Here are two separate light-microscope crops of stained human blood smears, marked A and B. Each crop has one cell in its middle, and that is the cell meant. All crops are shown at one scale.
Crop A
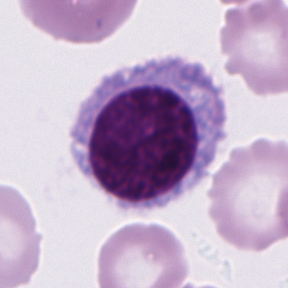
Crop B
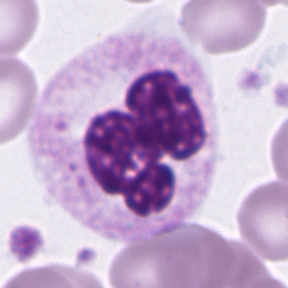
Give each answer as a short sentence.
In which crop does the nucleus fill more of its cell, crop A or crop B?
It is the cell in crop A that is filled more by its nucleus.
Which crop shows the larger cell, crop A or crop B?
The cell in crop B is larger, with about 1.5 times the area of the one in crop A.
